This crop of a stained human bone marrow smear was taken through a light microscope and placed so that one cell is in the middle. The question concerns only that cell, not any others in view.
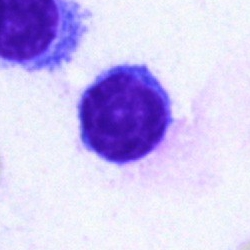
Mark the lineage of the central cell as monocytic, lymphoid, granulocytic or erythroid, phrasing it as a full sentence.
Originating in the lymphoid lineage is the cell at the center of the crop.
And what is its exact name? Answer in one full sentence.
The identification for the central cell is a lymphocyte.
